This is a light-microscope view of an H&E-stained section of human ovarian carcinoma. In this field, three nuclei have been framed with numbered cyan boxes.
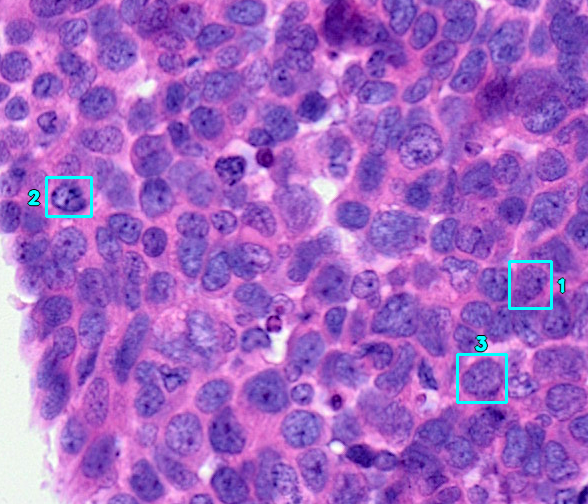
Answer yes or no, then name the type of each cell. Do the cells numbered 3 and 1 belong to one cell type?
Yes, within the numbered set, cells 3 and 1 are both carcinoma cells.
